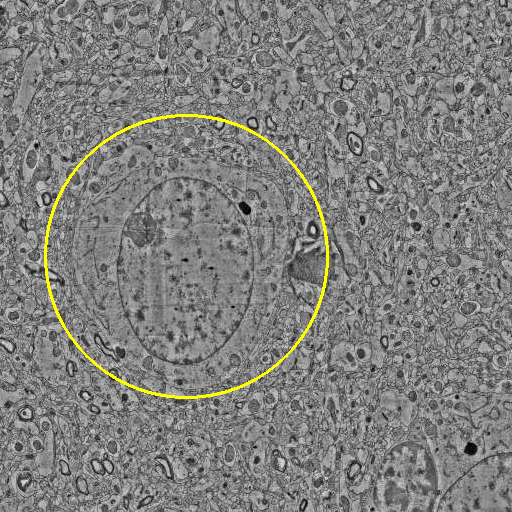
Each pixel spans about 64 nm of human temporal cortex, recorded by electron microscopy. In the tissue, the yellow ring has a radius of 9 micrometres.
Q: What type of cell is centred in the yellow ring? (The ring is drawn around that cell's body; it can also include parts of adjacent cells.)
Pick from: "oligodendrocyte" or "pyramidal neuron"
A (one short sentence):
The yellow ring is centred on a pyramidal neuron.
